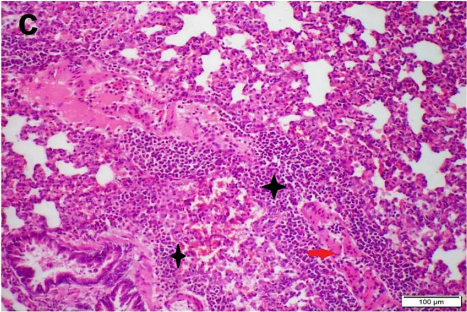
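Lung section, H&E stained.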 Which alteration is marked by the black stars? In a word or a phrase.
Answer: Inflammatory cell infiltration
